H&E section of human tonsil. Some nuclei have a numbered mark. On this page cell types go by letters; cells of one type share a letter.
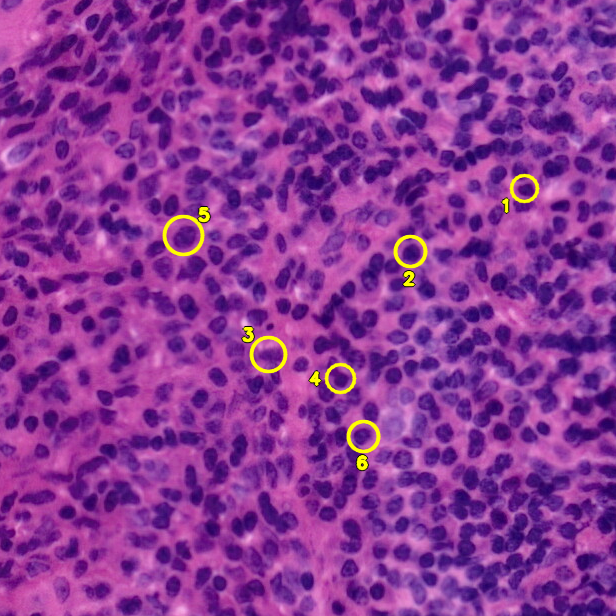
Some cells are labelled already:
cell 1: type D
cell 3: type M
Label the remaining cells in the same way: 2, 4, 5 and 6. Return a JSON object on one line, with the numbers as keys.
{"2": "type D", "4": "type D", "5": "type M", "6": "type D"}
